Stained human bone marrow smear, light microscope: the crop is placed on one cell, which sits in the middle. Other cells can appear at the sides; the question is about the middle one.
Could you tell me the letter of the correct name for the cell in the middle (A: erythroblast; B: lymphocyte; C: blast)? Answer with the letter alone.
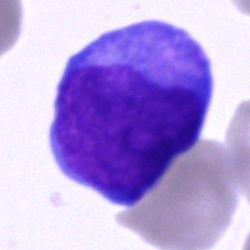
C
